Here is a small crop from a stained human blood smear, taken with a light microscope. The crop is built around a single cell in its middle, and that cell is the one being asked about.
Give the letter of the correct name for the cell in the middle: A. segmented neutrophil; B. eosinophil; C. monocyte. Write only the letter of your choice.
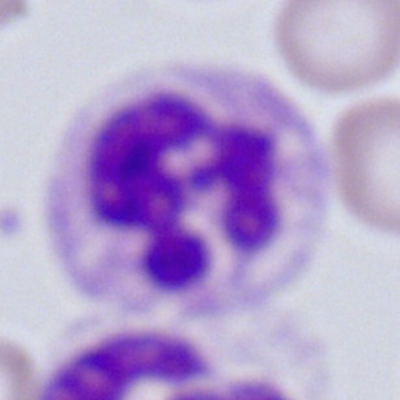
A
